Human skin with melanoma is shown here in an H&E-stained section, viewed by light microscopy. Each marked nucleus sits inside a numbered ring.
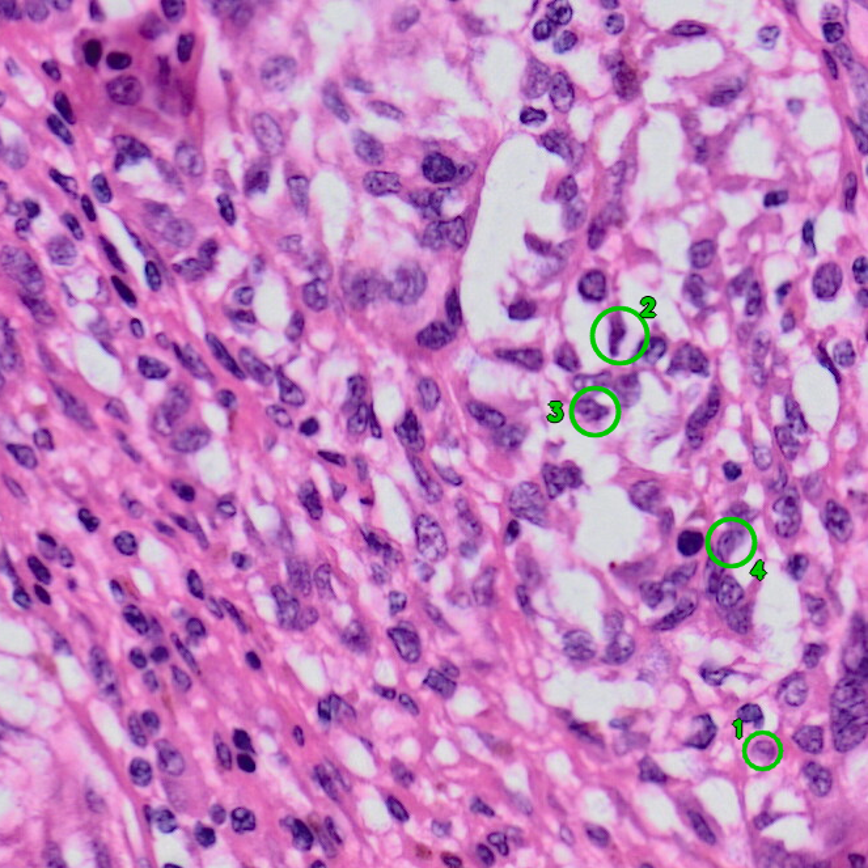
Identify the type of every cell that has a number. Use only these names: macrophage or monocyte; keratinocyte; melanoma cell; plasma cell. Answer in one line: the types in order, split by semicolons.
macrophage or monocyte; melanoma cell; melanoma cell; melanoma cell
